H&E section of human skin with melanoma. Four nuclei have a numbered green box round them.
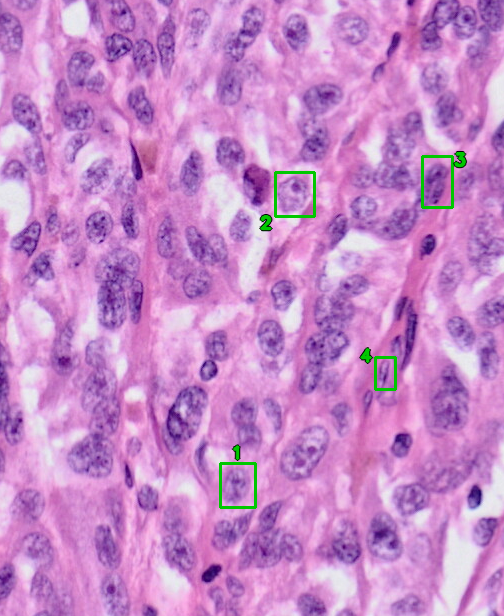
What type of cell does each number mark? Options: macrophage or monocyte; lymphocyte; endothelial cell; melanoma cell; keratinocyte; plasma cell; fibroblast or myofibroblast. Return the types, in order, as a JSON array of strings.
["melanoma cell", "melanoma cell", "melanoma cell", "endothelial cell"]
